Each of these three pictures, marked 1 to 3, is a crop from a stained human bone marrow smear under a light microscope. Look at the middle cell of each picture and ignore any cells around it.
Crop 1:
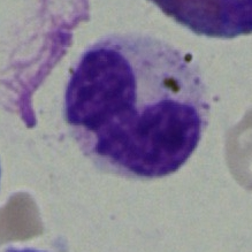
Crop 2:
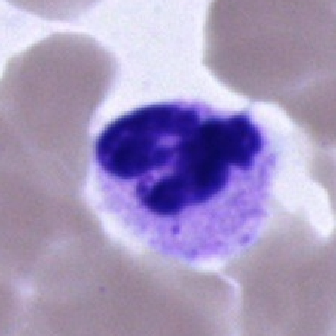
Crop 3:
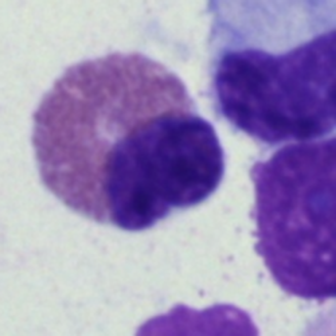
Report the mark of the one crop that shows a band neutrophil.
1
